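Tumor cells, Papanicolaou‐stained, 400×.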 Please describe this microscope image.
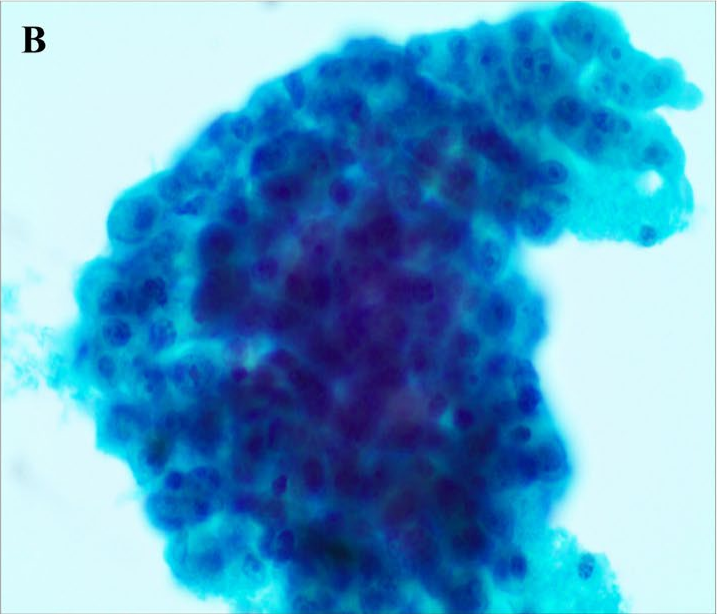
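At the edges of the group you can see single cells well. They have ample blue-green cytoplasm and round nuclei, some of which show a small nucleolus. The nuclei differ in size from cell to cell. Toward the centre the cells pile on top of one another, so the group becomes dense and darker, taking on a purplish tone. There, single nuclei are hard to separate. The sheet is cohesive, with few cells lying free around it.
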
